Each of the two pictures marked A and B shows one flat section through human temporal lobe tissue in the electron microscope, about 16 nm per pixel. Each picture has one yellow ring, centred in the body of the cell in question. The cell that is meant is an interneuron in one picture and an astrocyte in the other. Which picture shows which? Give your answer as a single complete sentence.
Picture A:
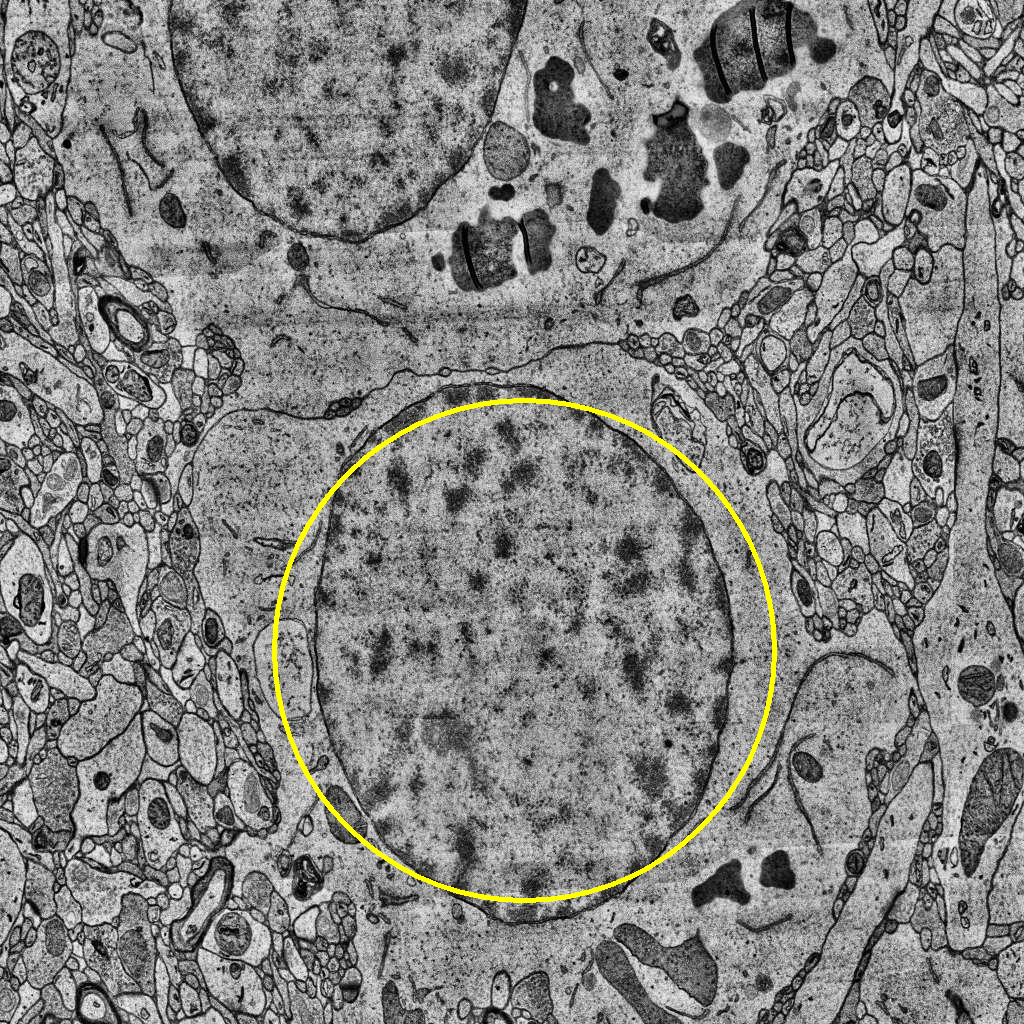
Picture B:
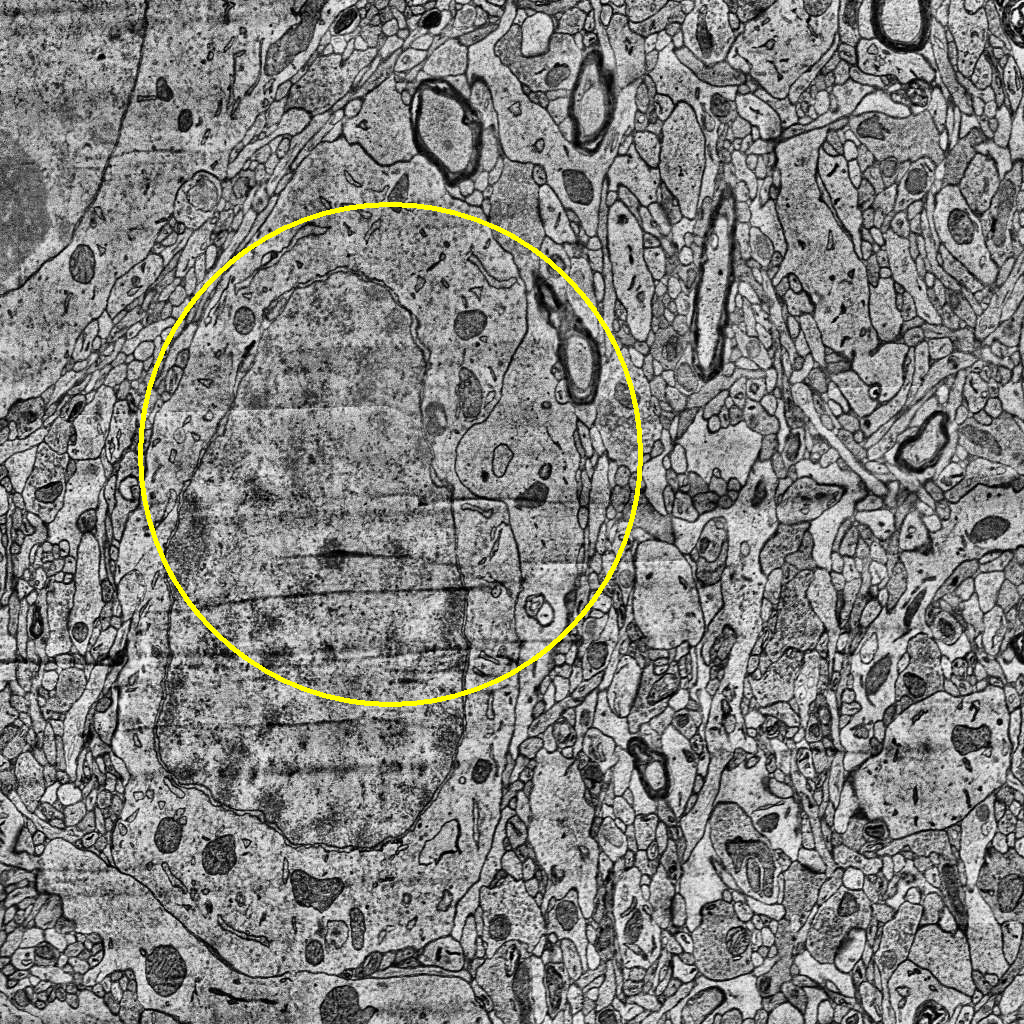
It is picture A that shows an astrocyte, and picture B that shows an interneuron.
